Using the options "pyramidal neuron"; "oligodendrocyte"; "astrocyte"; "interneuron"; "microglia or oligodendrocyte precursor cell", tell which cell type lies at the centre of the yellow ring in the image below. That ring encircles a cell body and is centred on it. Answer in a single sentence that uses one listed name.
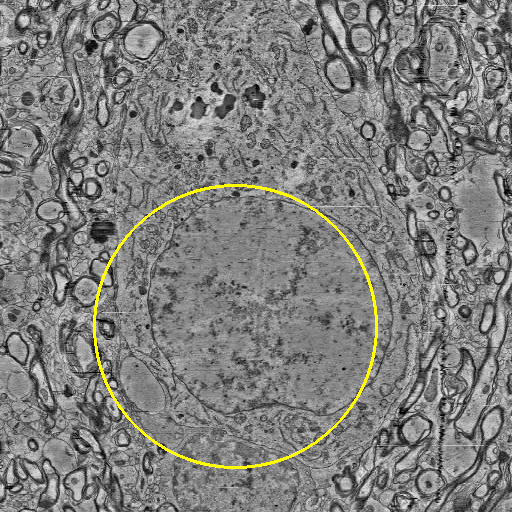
At the centre of the yellow ring lies the body of an interneuron.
